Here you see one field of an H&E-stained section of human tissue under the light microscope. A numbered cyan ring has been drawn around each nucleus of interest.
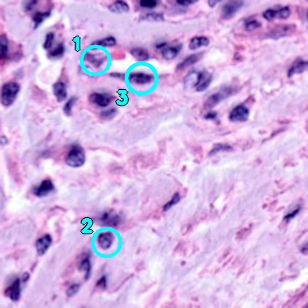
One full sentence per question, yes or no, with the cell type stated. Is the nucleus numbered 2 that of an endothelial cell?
No, cell 2 should be read as a lymphocyte instead of an endothelial cell.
